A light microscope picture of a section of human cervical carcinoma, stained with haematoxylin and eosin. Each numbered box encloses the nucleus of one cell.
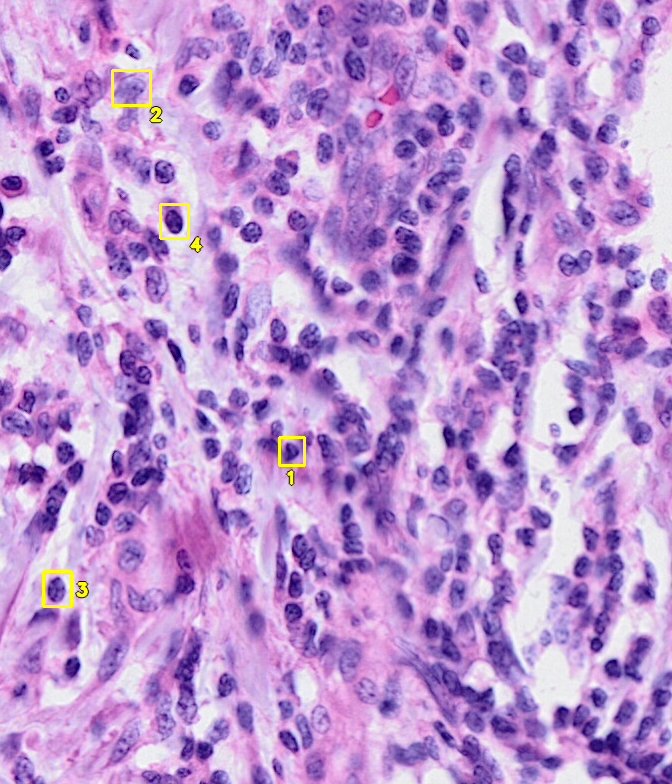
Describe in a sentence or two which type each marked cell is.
Cell 1 is a lymphocyte, cell 2 is a fibroblast, cell 3 is a lymphocyte and cell 4 is a lymphocyte.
